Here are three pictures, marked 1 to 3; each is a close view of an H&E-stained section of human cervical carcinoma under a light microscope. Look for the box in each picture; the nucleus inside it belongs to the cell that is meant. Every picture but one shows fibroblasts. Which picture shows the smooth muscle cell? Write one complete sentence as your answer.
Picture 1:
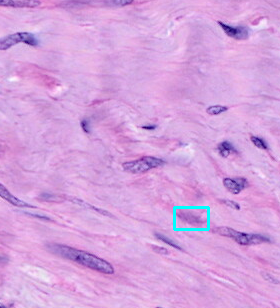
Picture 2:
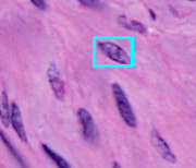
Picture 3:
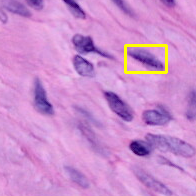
The picture with the smooth muscle cell is 1.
